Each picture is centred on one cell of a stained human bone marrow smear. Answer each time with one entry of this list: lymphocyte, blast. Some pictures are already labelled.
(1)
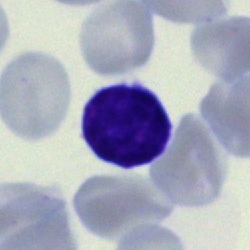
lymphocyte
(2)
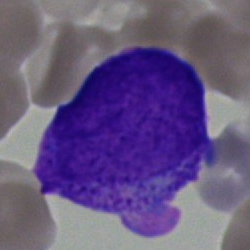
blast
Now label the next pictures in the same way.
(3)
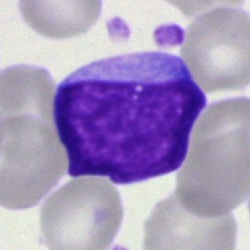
blast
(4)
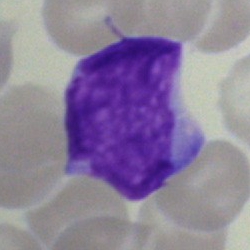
blast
